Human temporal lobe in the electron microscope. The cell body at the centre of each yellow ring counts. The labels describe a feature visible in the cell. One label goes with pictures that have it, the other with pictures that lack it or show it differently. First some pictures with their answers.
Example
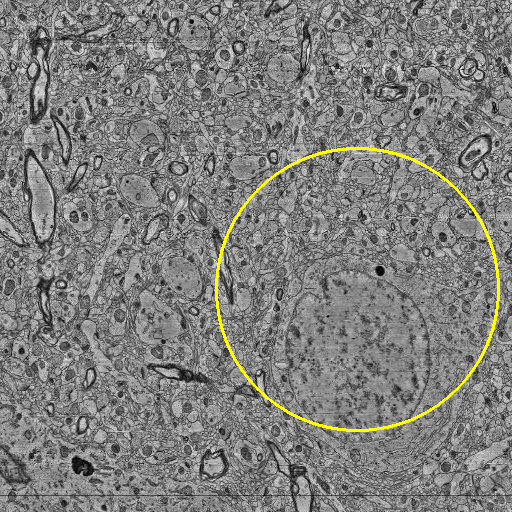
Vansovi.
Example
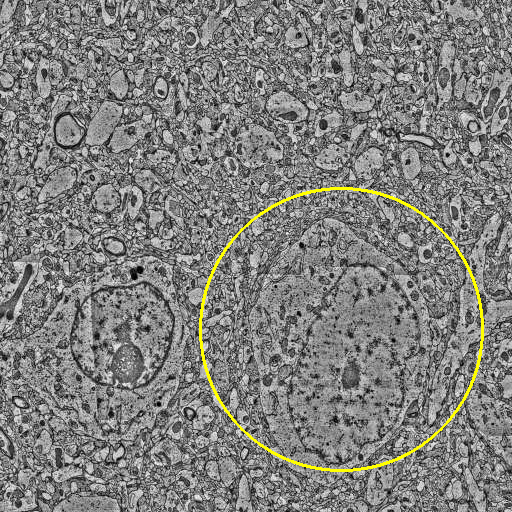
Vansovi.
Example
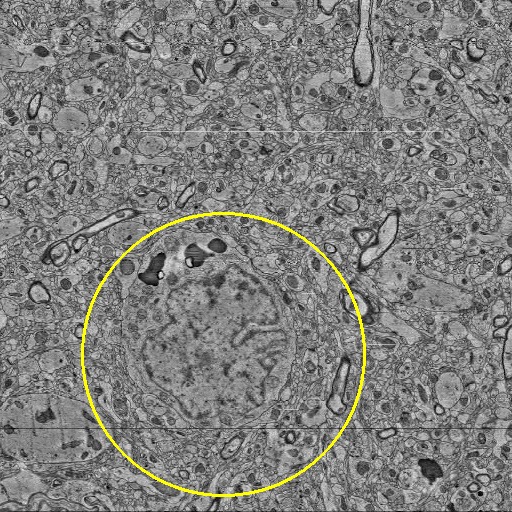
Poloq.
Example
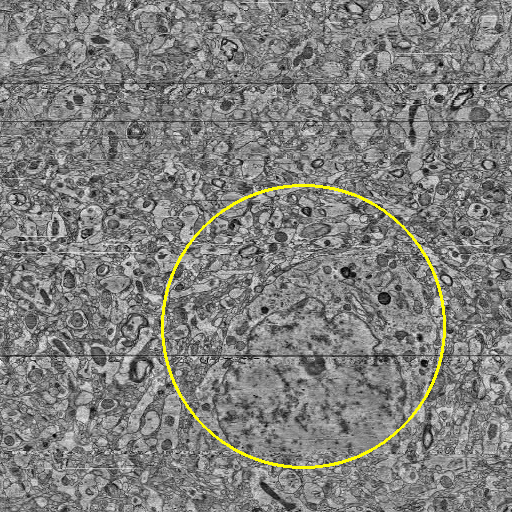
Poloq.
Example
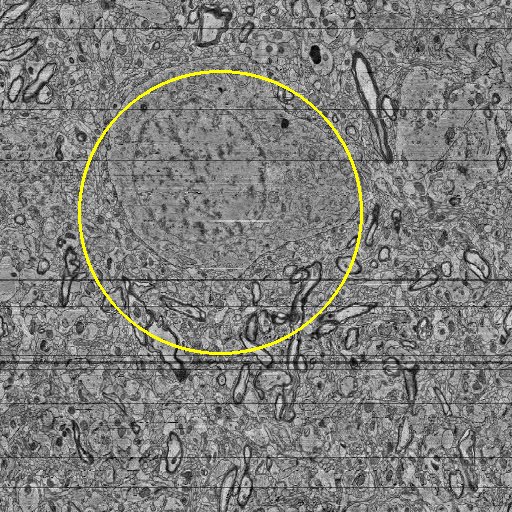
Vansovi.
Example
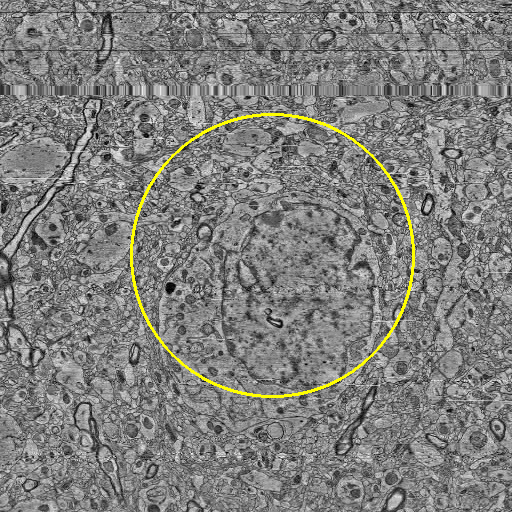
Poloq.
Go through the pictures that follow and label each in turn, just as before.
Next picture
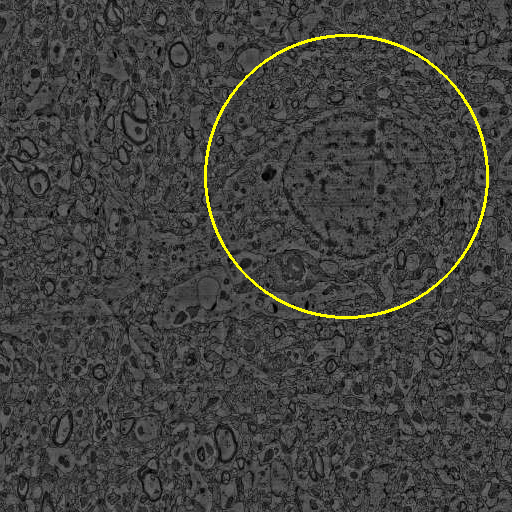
Vansovi.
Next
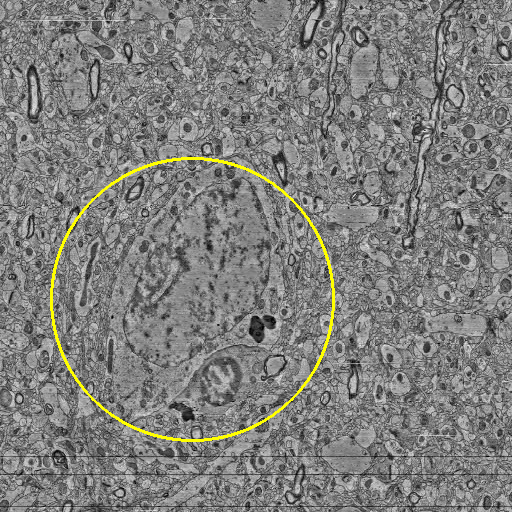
Poloq.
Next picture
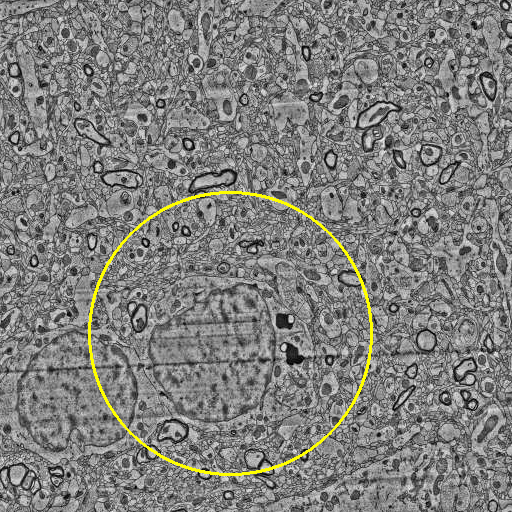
Vansovi.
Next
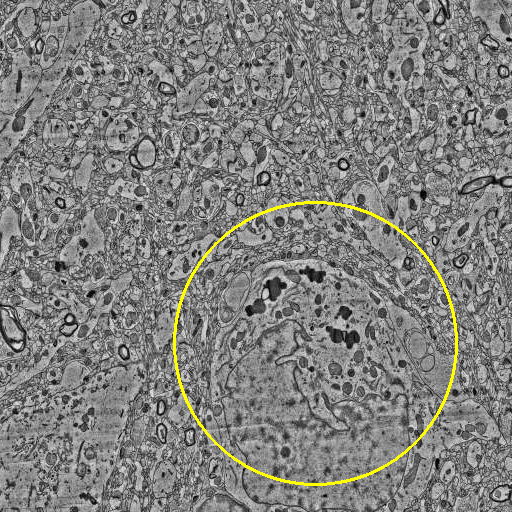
Poloq.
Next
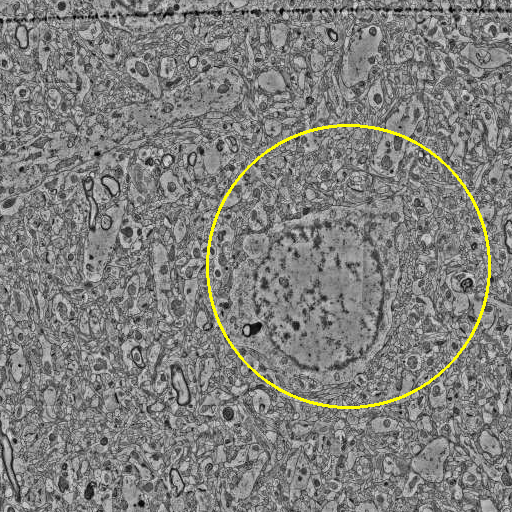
Vansovi.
